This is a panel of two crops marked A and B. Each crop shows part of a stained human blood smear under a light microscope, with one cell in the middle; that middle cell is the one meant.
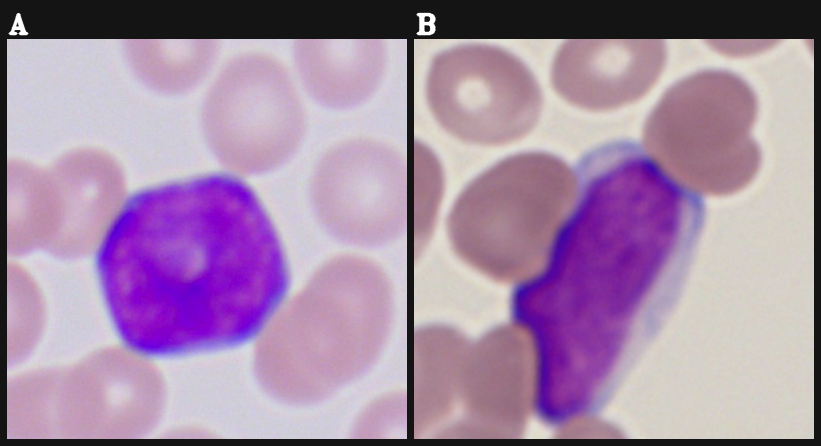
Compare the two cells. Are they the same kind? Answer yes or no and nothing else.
yes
